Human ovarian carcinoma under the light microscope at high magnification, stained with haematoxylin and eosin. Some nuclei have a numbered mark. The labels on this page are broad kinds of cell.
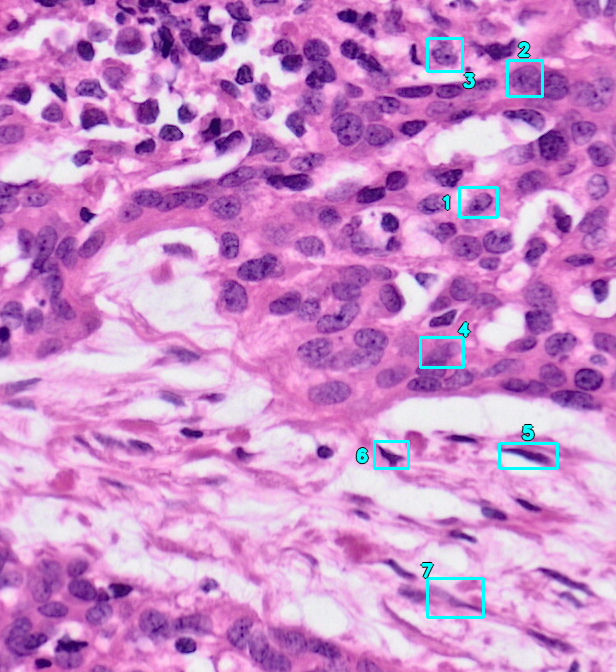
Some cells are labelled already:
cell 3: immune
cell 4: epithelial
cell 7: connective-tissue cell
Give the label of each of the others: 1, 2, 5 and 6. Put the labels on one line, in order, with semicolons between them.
immune; epithelial; connective-tissue cell; connective-tissue cell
